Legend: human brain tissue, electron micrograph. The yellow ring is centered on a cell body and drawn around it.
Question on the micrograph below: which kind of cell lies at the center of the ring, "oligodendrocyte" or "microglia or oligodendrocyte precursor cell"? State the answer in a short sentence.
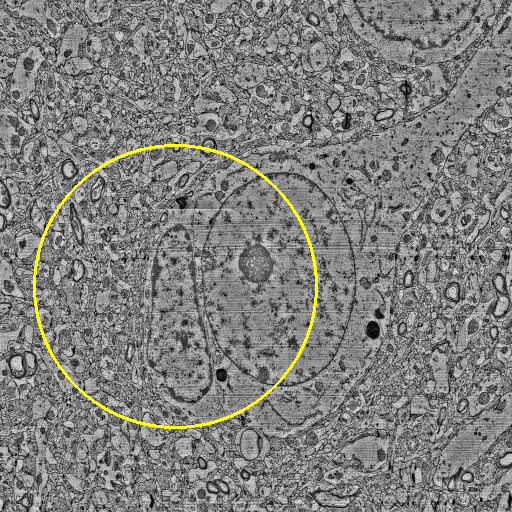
At the center of the ring lies a microglial cell or oligodendrocyte precursor cell.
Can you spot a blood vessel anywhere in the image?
No, there is none.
